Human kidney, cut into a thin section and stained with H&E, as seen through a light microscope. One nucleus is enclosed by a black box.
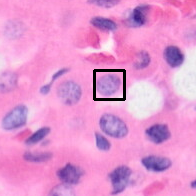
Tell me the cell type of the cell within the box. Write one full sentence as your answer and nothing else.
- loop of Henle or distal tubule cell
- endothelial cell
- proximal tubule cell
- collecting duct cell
In this section, the cell within the box is a loop of Henle or distal tubule cell.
